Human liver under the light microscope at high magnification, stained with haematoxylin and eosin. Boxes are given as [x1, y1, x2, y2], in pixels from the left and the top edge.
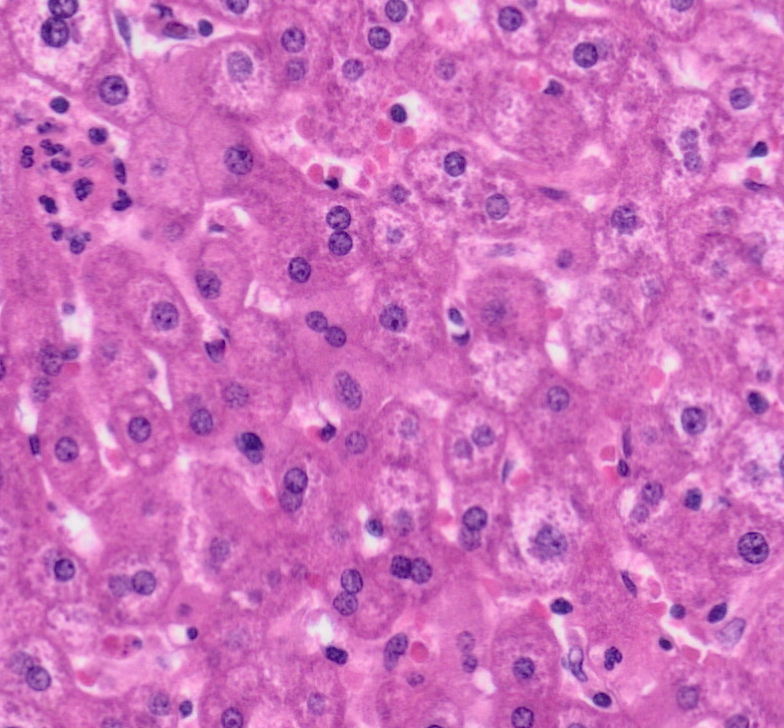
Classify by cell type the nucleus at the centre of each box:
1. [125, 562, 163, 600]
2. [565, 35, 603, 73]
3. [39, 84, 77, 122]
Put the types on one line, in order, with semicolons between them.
hepatocyte; hepatocyte; lymphocyte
